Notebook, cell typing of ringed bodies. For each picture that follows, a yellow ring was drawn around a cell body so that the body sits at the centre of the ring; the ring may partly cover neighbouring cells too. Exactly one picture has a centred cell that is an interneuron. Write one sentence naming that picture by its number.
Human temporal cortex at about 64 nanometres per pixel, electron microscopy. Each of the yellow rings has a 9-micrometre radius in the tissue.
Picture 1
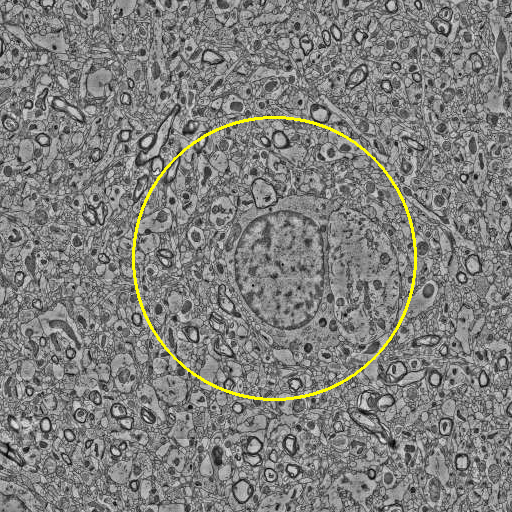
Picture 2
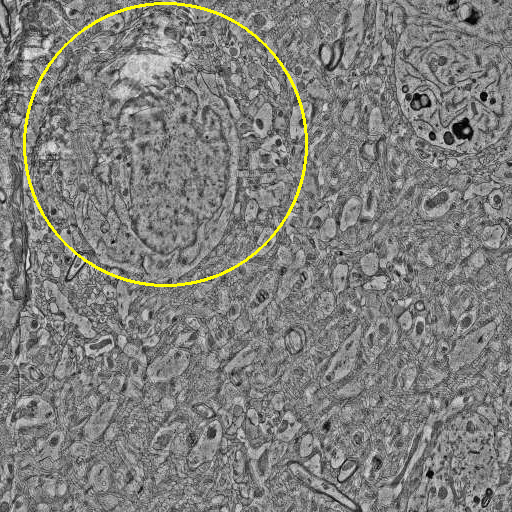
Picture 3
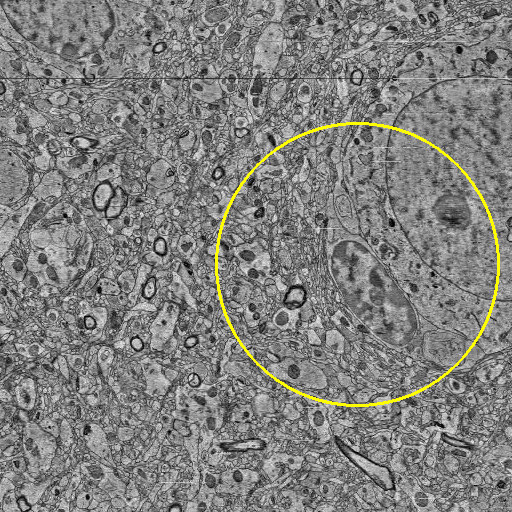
Picture 2 is the one with it at the centre of its ring.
